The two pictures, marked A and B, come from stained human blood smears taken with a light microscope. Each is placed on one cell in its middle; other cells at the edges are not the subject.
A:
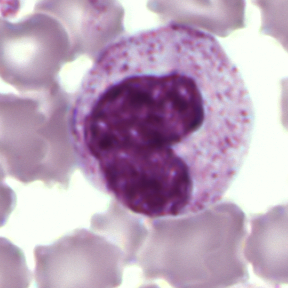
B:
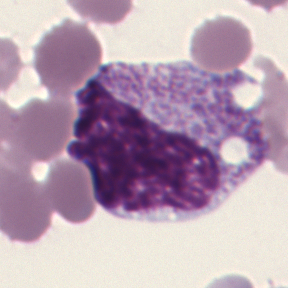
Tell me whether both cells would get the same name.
no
